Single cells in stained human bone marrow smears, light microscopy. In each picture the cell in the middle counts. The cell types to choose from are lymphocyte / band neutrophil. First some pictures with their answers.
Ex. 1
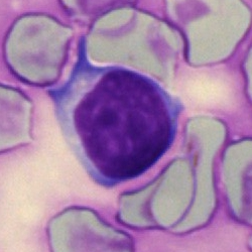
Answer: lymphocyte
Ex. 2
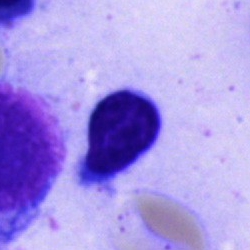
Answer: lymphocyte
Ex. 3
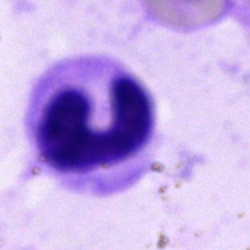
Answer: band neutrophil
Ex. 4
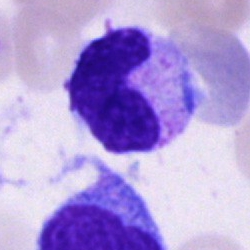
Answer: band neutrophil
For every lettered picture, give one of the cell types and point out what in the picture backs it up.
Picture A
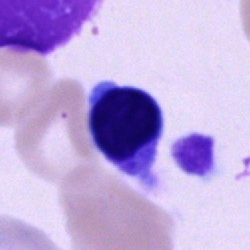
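Answer: lymphocyte. The cytoplasm is scanty.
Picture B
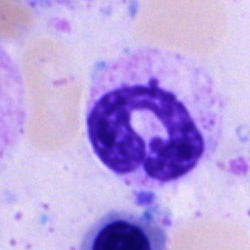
Answer: band neutrophil. The nucleus is bent into a nearly closed ring around a pale central gap.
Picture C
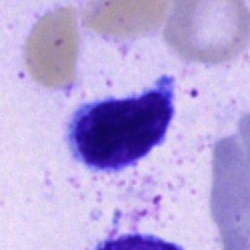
Answer: lymphocyte. The nucleus fills almost the whole cell.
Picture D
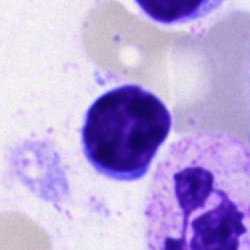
Answer: lymphocyte. The nucleus fills almost the whole cell.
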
